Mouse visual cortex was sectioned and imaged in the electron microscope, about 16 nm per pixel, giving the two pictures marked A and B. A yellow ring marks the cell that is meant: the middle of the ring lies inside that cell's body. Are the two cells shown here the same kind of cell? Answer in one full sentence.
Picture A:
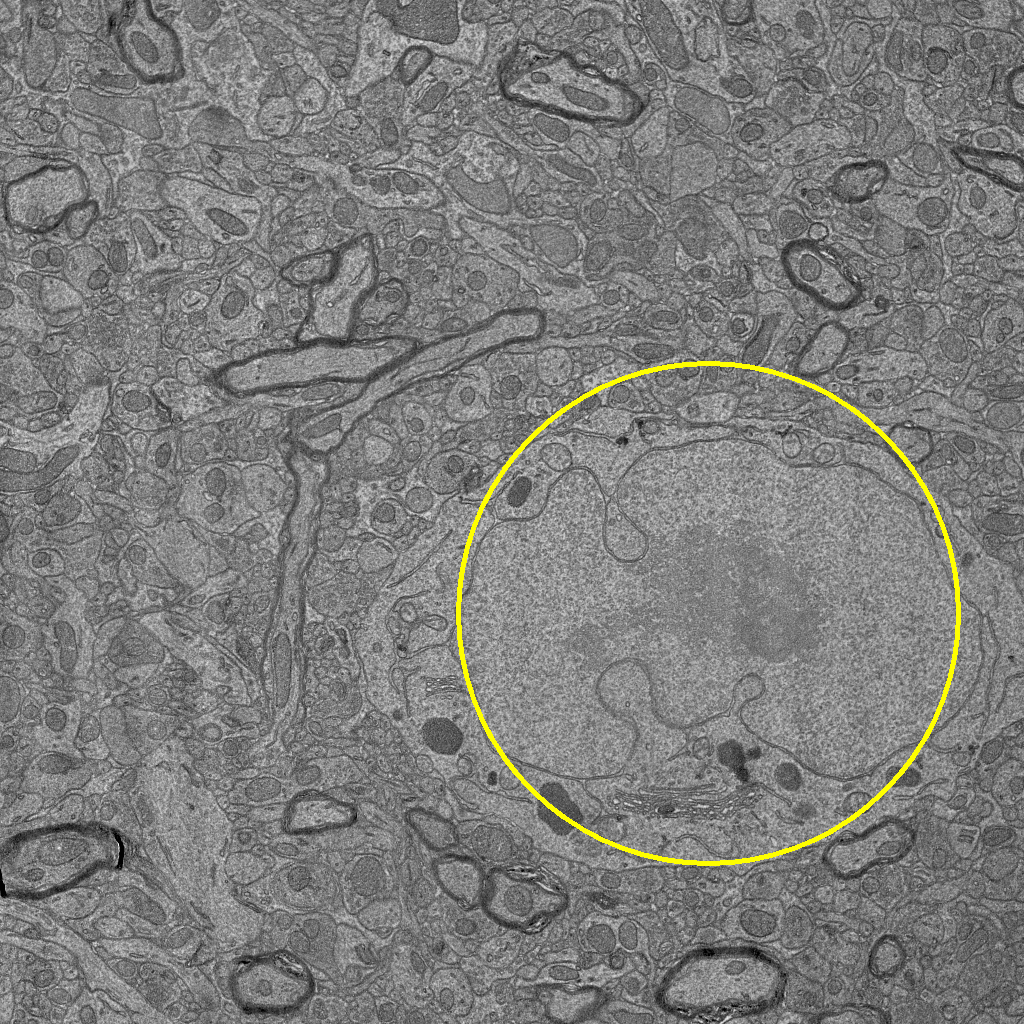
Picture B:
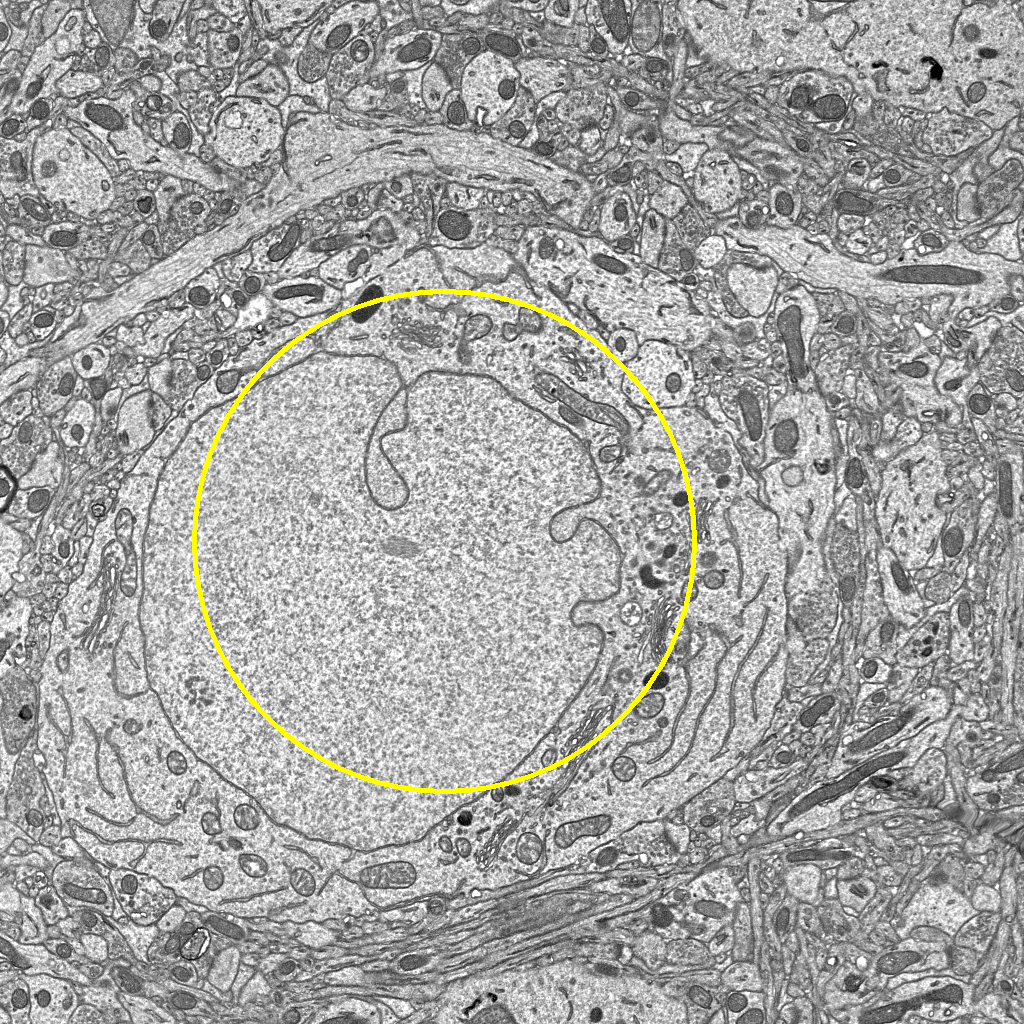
Yes, the two pictures both show inhibitory neurons.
